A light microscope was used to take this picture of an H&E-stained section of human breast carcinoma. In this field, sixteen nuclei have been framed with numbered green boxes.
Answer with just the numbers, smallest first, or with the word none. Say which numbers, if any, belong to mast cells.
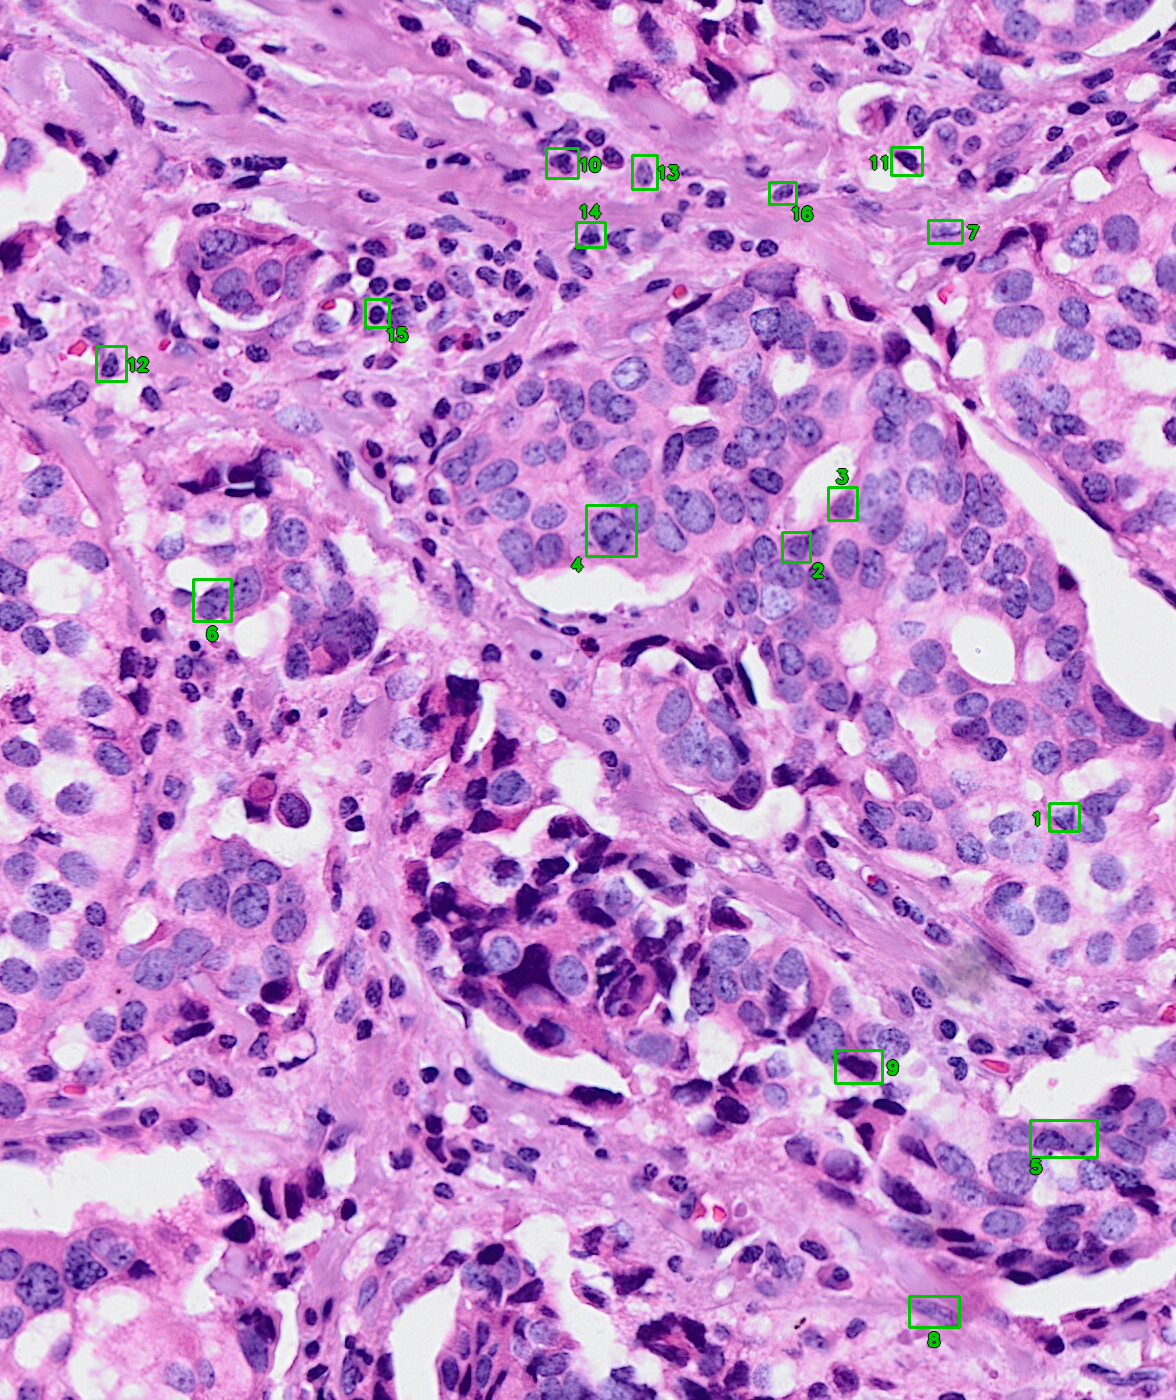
13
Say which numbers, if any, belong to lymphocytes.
10, 11, 12, 14, 15, 16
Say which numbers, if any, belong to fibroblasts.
7, 8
